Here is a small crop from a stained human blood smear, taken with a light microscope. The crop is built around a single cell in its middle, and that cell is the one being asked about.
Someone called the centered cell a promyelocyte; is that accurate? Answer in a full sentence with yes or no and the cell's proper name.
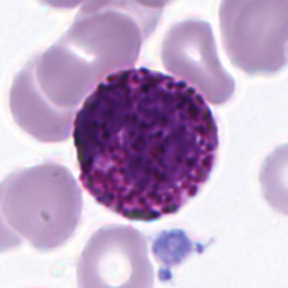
No, not a promyelocyte: the cell in the middle of this crop is a basophil.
